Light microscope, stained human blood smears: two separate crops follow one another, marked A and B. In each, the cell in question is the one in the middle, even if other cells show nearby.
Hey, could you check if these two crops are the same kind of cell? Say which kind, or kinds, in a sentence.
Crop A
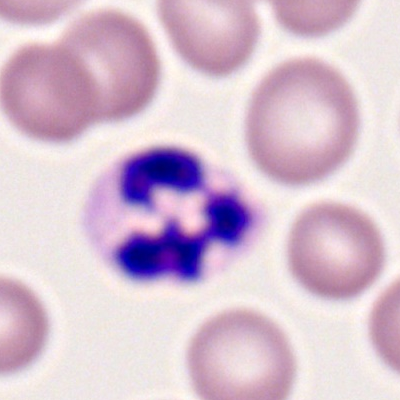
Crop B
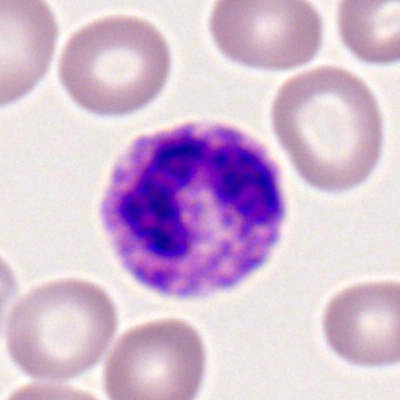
No, crop A presents a segmented neutrophil; crop B presents an eosinophil.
